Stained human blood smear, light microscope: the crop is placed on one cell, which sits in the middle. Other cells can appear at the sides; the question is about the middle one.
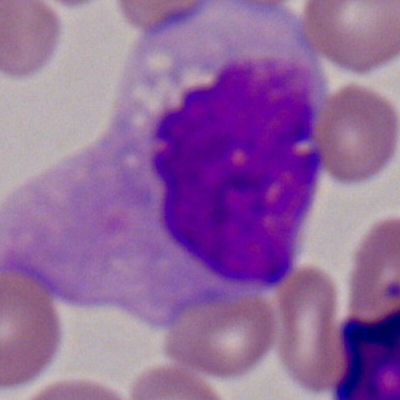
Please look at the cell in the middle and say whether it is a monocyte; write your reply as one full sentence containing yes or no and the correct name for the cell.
Yes, the identity of the central cell is that of a monocyte.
